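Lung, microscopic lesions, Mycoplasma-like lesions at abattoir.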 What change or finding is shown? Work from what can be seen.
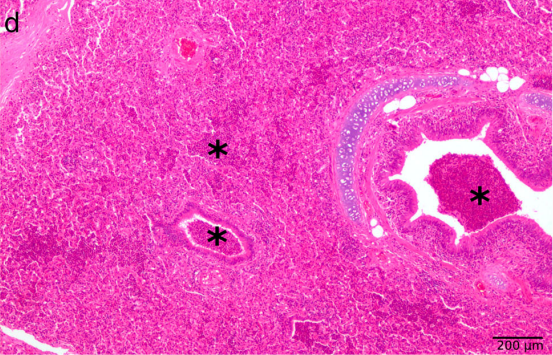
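Airway lumens are filled with dense cellular material. Alveolar spaces are diffusely filled with cells. Little open air space remains in the field. On this evidence: Suppurative bronchopneumonia.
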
